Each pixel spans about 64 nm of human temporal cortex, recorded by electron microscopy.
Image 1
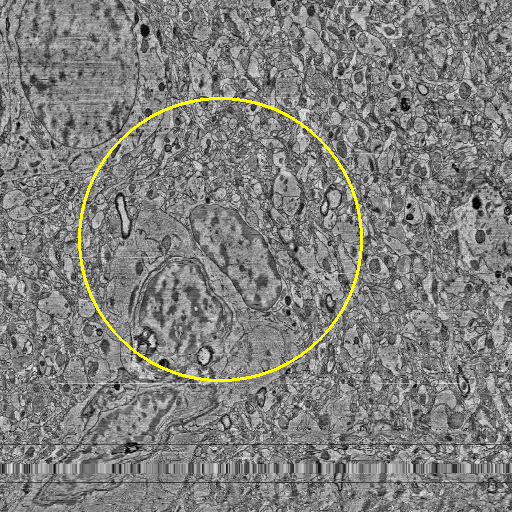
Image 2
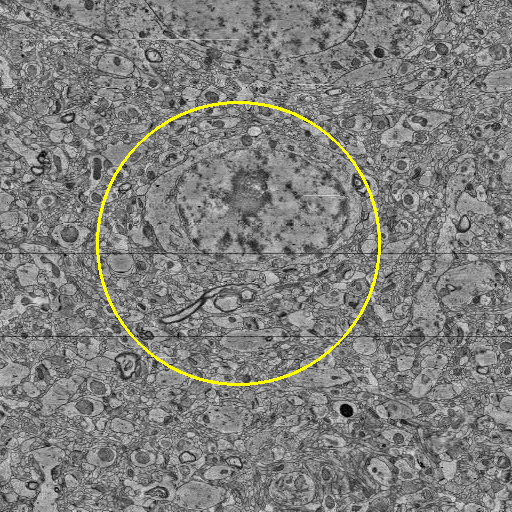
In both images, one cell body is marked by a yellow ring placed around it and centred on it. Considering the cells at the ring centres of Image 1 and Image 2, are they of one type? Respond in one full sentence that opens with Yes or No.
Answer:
No, two types apply to the ring-centred cells of Image 1 and Image 2.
